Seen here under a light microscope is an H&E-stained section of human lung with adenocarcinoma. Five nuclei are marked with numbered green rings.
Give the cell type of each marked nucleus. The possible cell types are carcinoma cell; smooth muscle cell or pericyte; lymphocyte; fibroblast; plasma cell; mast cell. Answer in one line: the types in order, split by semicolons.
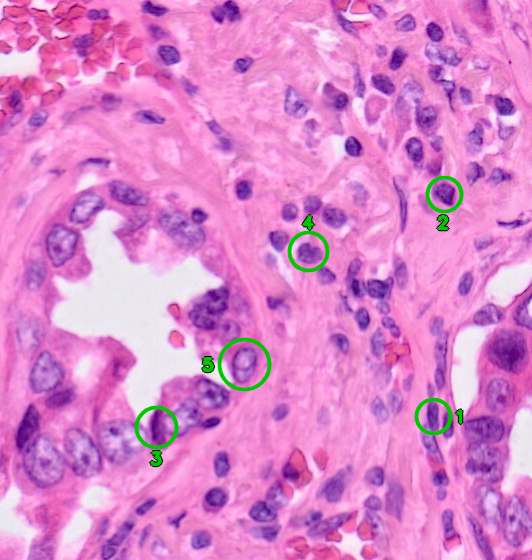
lymphocyte; plasma cell; carcinoma cell; lymphocyte; carcinoma cell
